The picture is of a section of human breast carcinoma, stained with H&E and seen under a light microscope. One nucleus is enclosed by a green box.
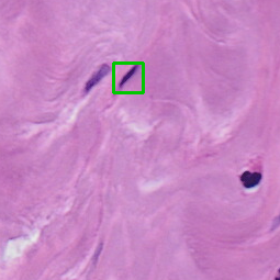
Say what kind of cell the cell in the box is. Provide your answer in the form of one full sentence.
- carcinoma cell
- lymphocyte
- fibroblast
At the level of cell identity, the cell in the box is a fibroblast.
